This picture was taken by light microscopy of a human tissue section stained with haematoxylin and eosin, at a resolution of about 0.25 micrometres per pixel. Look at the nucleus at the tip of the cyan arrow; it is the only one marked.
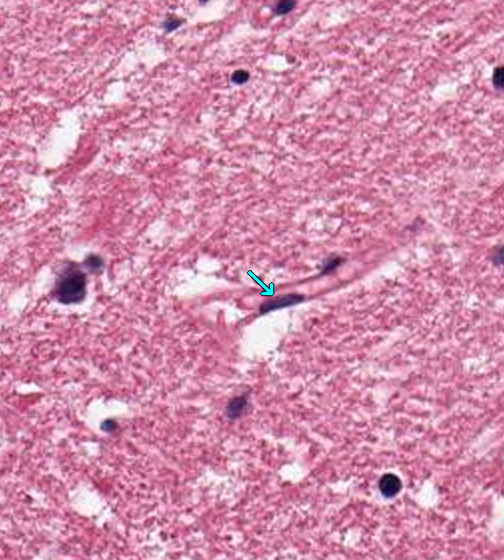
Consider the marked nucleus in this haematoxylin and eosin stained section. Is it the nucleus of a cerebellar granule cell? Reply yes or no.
no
